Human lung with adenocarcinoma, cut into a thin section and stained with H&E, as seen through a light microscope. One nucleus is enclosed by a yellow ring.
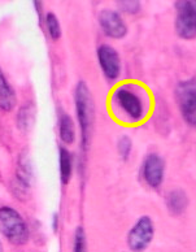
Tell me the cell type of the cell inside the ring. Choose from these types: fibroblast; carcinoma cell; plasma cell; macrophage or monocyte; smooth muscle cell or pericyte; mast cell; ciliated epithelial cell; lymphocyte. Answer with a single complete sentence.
The cell type of the cell inside the ring is that of a plasma cell.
